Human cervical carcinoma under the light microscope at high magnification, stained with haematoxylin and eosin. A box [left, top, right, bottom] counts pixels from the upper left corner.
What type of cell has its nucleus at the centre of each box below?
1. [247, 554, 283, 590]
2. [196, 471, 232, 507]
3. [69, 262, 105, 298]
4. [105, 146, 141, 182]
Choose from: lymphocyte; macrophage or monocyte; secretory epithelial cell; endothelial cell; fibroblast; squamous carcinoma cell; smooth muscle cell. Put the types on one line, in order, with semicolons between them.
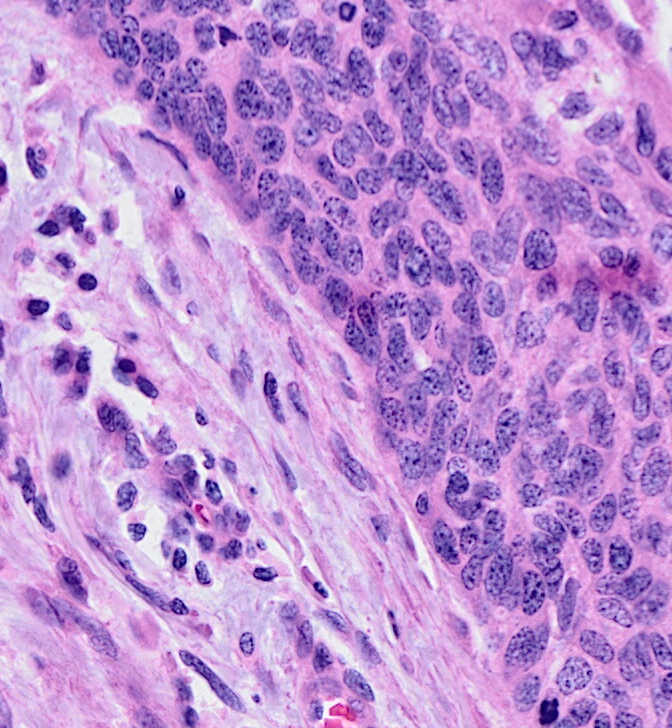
lymphocyte; lymphocyte; lymphocyte; fibroblast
